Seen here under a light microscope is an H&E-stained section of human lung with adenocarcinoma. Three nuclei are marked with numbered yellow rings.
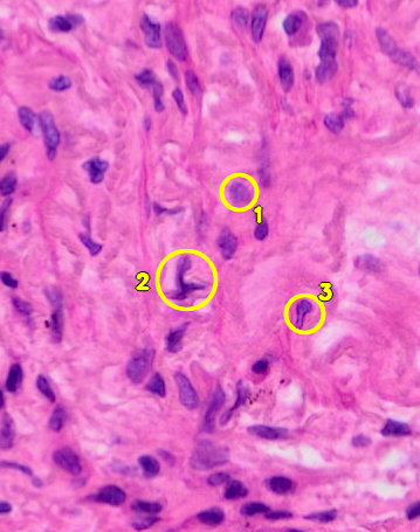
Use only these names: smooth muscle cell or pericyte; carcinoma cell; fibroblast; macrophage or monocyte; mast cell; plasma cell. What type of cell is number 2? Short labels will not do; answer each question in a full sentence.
The correct label for cell 2 is a fibroblast.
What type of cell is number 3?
The cell marked with number 3 is a smooth muscle cell or pericyte.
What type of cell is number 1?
Identified as a smooth muscle cell or pericyte is the cell bearing the number 1.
